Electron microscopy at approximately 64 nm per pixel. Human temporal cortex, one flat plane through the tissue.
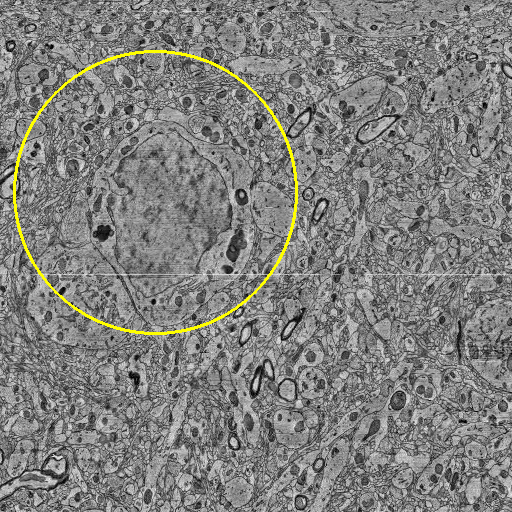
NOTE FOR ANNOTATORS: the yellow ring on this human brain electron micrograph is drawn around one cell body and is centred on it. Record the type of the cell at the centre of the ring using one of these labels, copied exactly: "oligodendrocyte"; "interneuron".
interneuron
